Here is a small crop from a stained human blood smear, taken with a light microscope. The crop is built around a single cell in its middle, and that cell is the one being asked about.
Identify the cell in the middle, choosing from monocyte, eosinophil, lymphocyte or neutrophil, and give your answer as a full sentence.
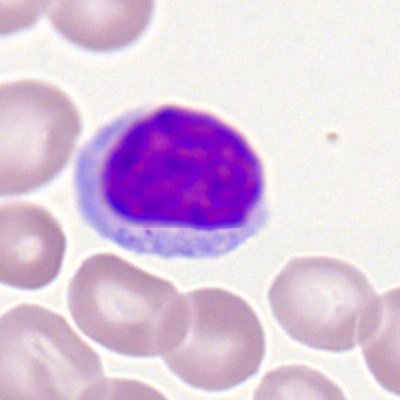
For this crop, the cell in the middle is a lymphocyte.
